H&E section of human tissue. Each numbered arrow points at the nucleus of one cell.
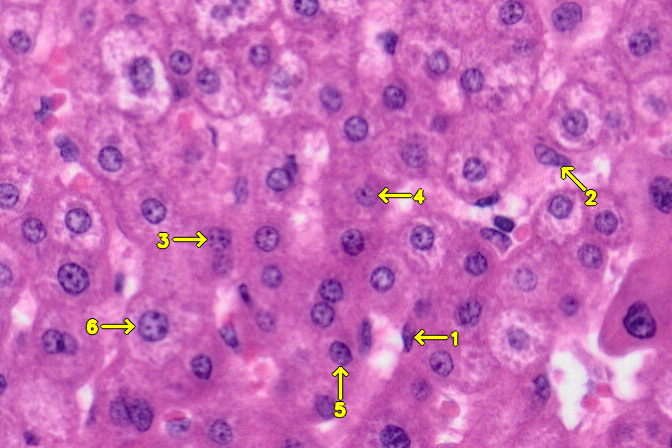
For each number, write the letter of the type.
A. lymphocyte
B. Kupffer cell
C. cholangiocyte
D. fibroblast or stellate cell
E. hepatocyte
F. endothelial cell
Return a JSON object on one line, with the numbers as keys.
{"1": "F", "2": "B", "3": "E", "4": "E", "5": "E", "6": "E"}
